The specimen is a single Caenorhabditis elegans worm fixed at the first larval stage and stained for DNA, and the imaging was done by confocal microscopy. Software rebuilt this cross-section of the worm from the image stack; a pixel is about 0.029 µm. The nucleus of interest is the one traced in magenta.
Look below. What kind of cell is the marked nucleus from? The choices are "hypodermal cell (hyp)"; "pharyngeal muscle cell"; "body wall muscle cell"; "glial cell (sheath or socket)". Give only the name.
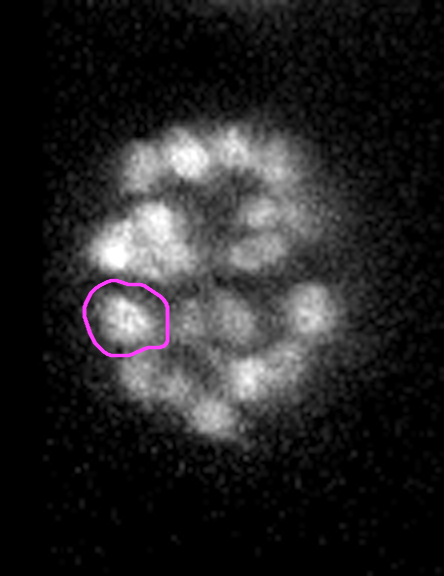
glial cell (sheath or socket)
